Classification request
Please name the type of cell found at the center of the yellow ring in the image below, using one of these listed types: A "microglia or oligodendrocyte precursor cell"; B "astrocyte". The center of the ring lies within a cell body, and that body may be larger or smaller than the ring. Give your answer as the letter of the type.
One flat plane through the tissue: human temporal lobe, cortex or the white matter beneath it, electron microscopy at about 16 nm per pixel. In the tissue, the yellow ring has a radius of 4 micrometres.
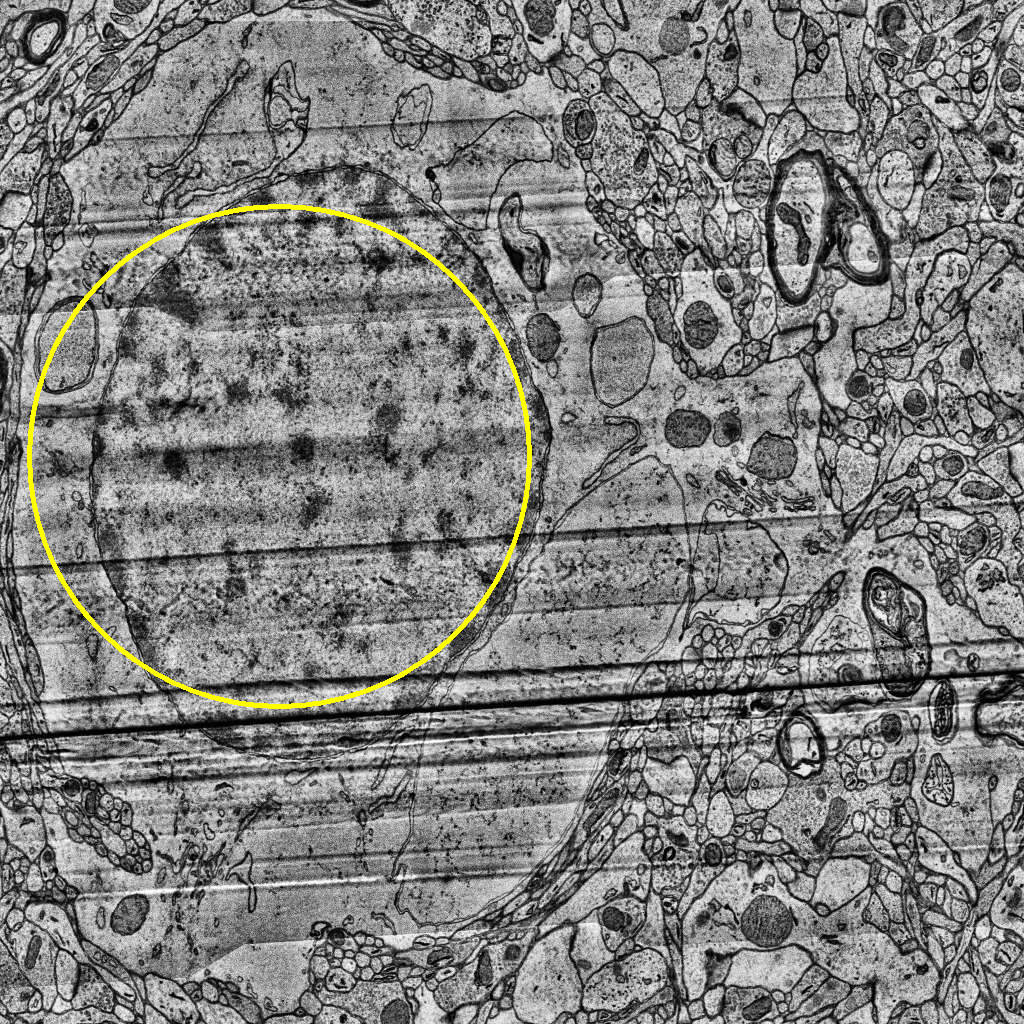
B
